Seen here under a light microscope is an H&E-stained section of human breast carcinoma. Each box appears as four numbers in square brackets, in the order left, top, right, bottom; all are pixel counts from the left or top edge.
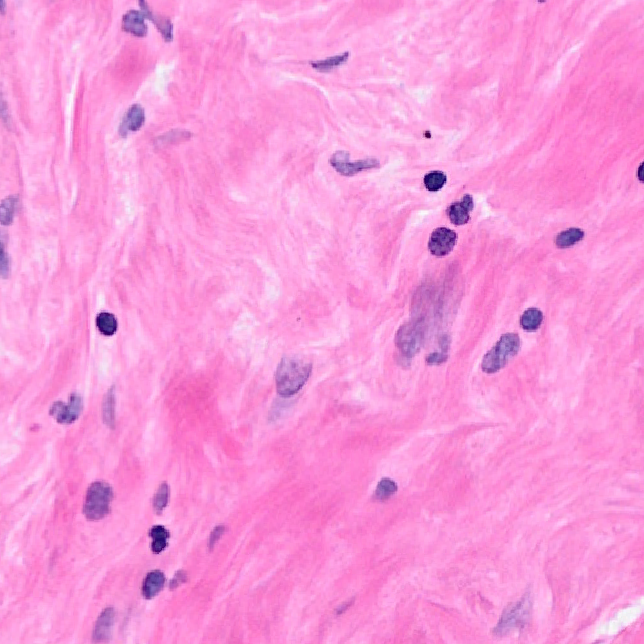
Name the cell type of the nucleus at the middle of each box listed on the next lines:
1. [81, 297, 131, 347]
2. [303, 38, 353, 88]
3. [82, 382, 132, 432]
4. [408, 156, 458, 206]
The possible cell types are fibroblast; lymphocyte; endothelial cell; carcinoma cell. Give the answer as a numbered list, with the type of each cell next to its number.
1. lymphocyte
2. fibroblast
3. fibroblast
4. lymphocyte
